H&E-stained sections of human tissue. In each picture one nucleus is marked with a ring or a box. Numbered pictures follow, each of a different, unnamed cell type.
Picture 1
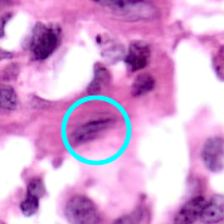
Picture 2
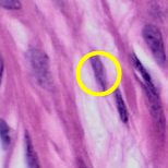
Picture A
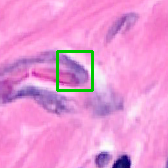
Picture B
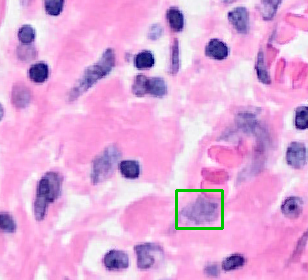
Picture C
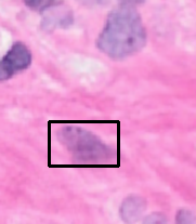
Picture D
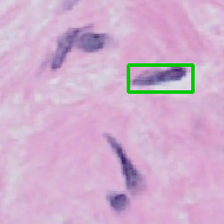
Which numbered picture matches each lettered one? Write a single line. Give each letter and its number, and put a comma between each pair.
A 1, B 1, C 2, D 2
